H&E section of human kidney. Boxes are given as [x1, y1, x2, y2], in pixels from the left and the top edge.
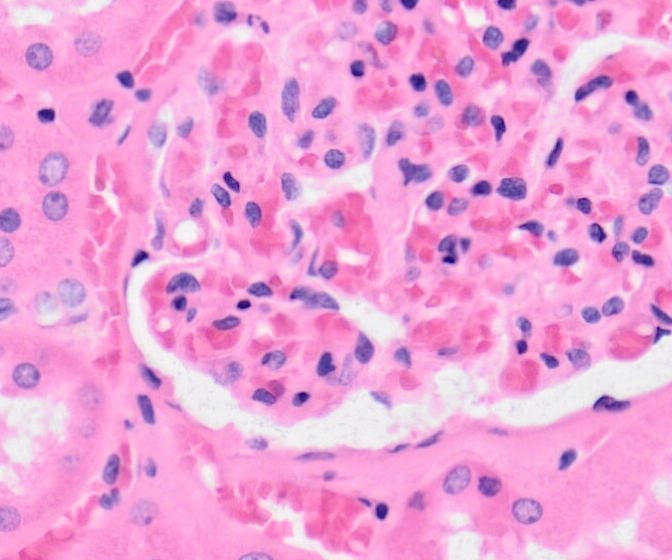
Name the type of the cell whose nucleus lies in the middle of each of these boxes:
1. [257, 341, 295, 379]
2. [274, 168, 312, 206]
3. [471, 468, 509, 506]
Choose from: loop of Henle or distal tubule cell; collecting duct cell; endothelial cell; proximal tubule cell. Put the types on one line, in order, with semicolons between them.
endothelial cell; endothelial cell; proximal tubule cell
